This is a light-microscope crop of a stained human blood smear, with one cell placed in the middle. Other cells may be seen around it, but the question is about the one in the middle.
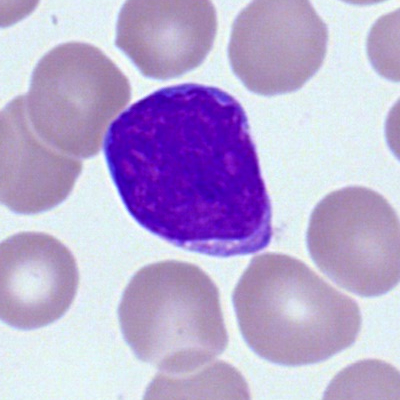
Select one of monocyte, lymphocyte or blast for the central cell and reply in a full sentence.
For this crop, the cell in the middle is a blast.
